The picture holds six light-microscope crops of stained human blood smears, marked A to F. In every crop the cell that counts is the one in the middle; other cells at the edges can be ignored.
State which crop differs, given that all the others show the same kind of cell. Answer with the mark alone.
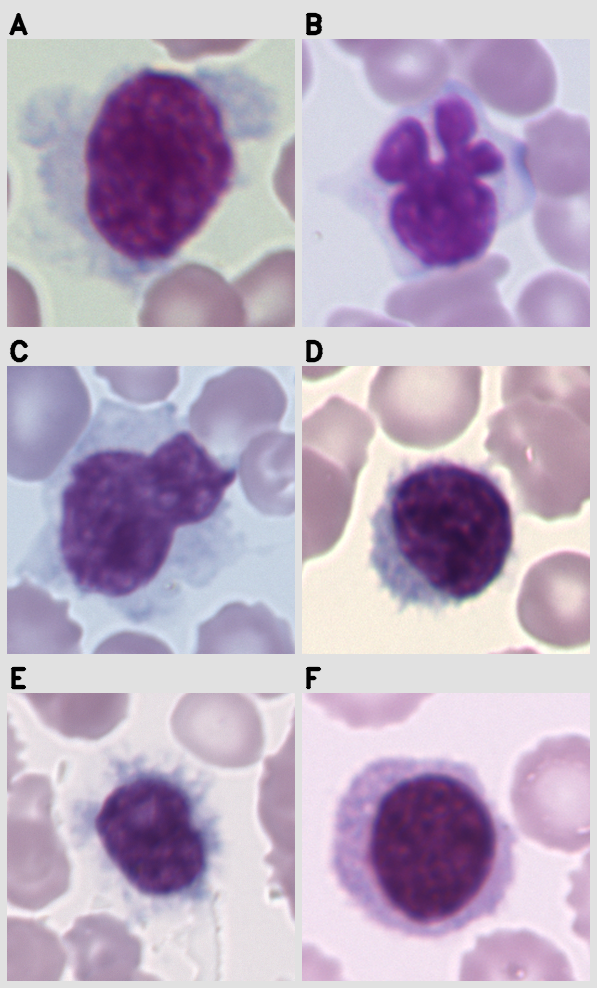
B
